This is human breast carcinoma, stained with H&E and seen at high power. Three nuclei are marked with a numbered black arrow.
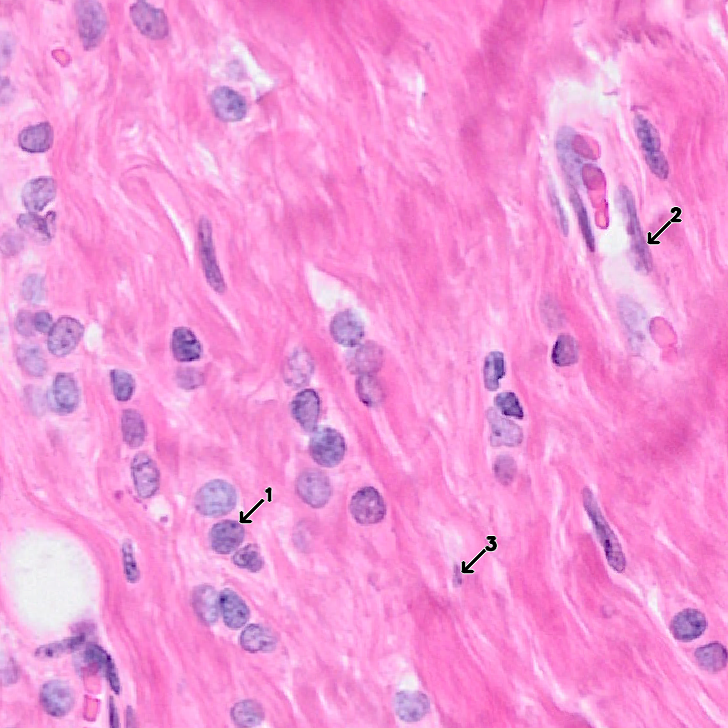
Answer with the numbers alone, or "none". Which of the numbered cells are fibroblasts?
3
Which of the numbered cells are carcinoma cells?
1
